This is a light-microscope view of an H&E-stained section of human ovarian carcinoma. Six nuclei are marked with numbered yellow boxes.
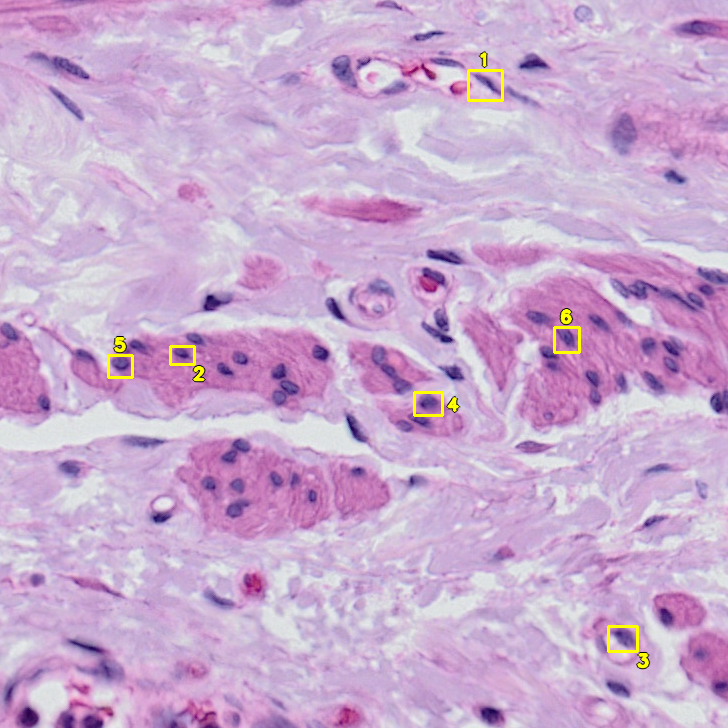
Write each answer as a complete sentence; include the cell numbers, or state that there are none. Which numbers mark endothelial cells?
The cells with numbers 1 and 3 are endothelial cells by type.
